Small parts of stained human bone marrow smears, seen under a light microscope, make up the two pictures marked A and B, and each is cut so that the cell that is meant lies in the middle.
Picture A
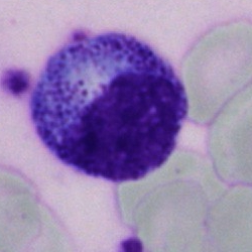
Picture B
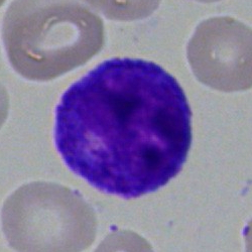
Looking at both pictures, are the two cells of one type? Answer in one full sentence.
Yes, both are promyelocytes.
